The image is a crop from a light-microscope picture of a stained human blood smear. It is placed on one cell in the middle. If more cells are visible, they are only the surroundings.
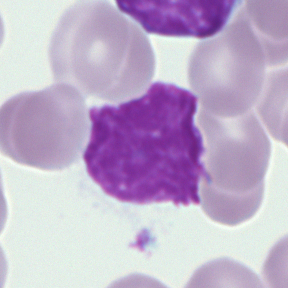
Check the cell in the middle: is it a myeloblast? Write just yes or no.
no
